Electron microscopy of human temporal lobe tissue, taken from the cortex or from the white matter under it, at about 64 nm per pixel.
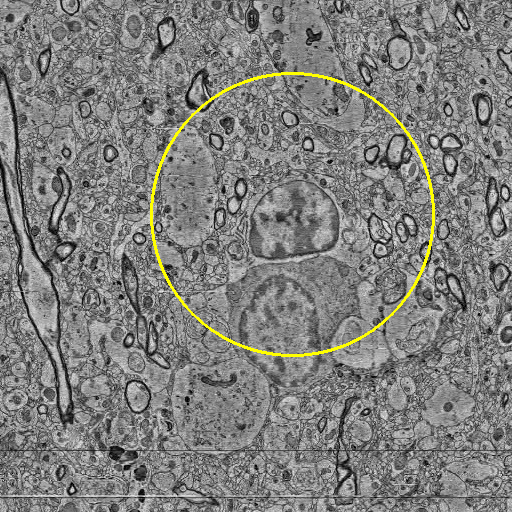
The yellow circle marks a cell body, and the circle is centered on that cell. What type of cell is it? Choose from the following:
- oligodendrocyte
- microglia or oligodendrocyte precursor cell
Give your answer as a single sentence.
This cell body belongs to a microglial cell or oligodendrocyte precursor cell.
